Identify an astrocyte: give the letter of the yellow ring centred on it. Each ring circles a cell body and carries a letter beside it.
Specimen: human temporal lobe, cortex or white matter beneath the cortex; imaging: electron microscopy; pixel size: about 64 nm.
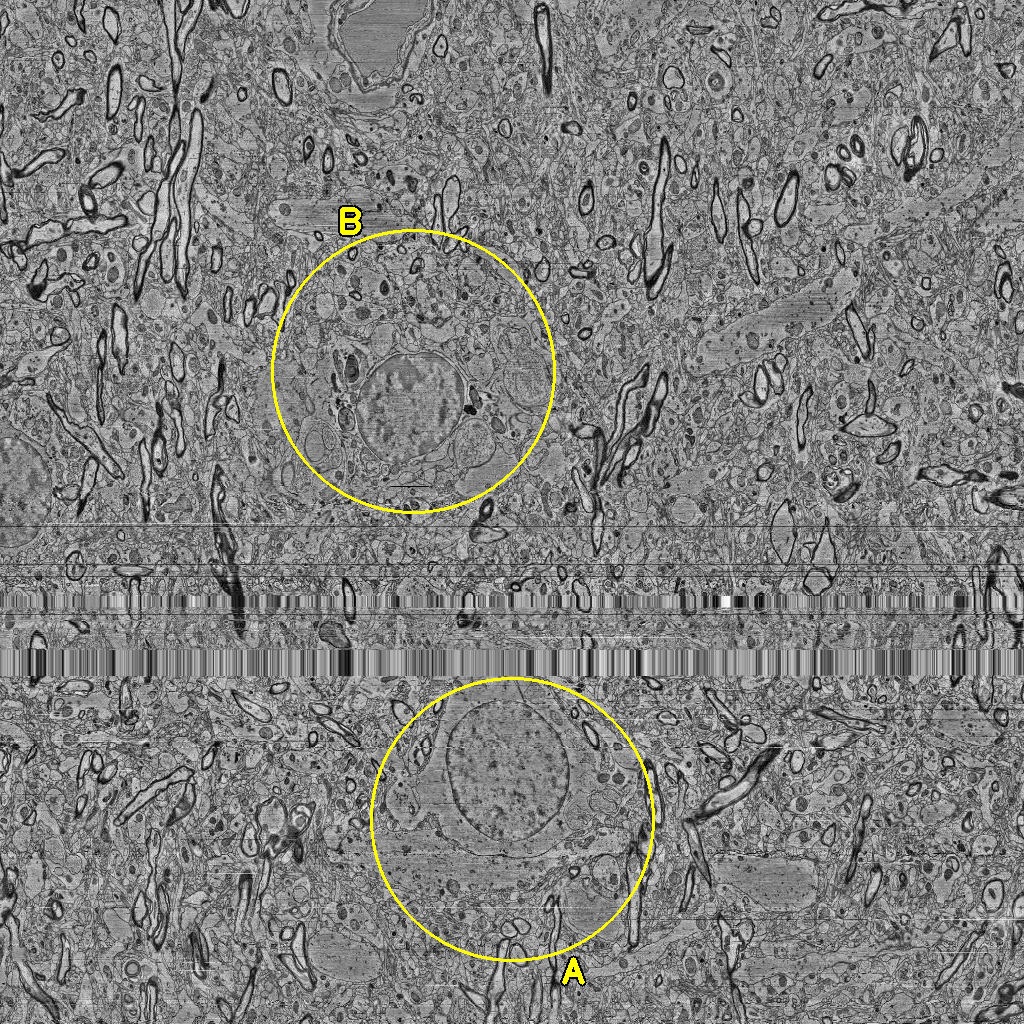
A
